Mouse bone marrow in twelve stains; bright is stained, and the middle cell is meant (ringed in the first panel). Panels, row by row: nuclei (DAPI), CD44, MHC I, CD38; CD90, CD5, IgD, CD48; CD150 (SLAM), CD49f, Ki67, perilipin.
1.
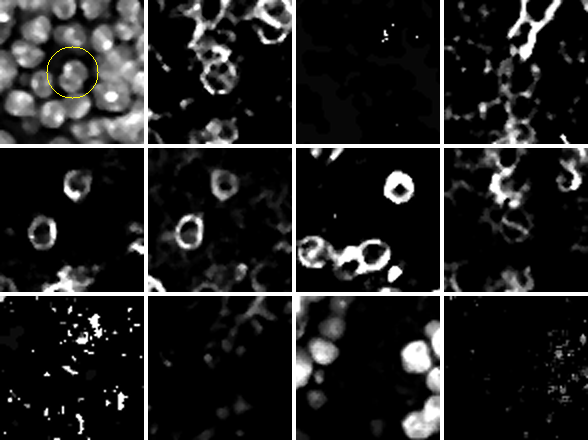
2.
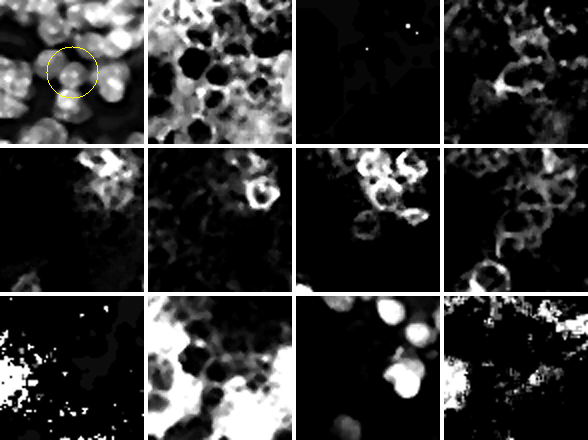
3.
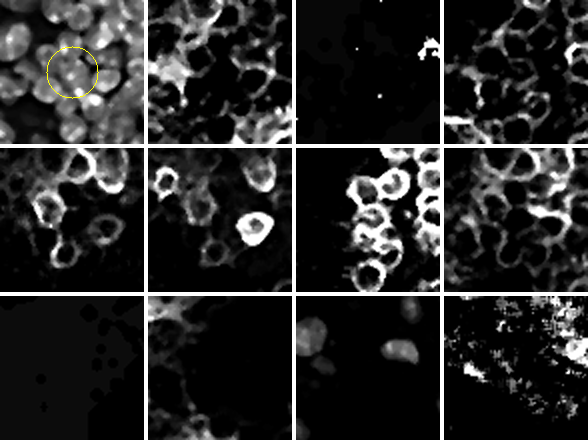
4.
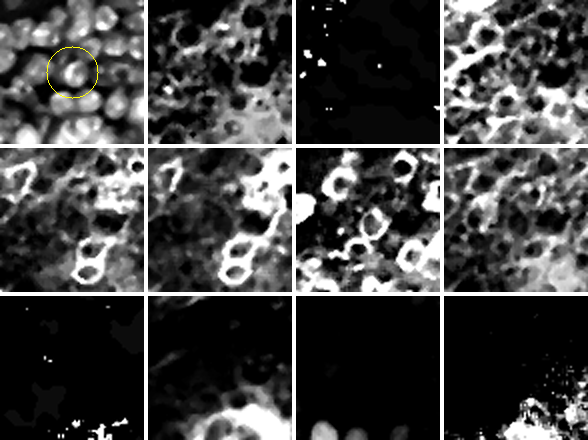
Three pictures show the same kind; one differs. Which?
Picture 1: a capillary endothelial cell, while the others are B cells.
